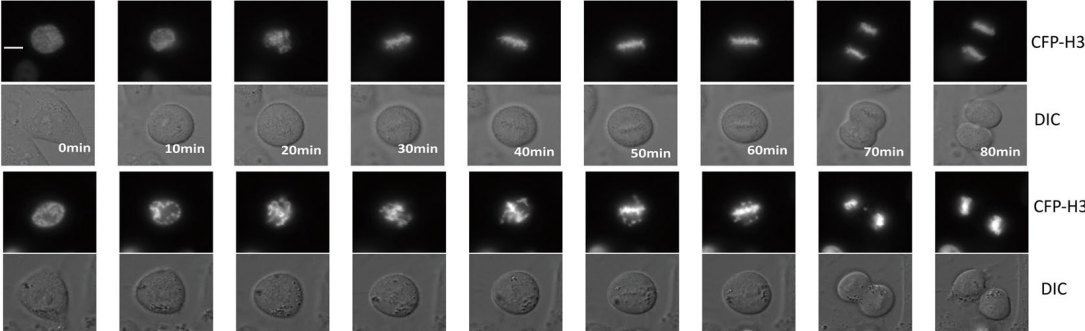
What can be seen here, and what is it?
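In the upper series the rounded nucleus condenses its chromatin into distinct bodies, which gather into a tight band across the middle of a spherical cell; the band then splits into two parallel sets that move apart, and the cell constricts into two daughters. In the lower series the chromatin gathers less neatly: the band is irregular with pieces lying off it, and a small separate fragment sits between the two separating sets.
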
